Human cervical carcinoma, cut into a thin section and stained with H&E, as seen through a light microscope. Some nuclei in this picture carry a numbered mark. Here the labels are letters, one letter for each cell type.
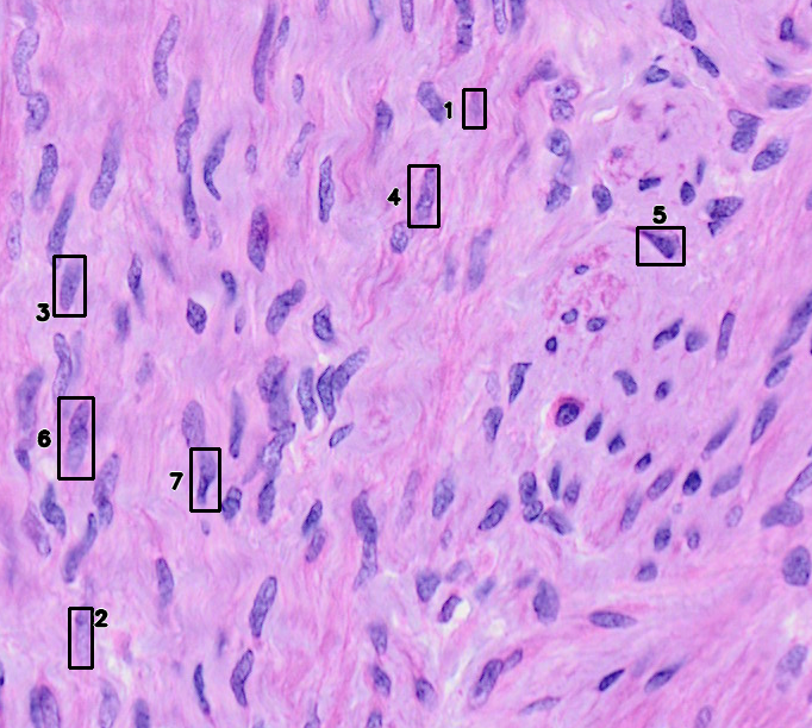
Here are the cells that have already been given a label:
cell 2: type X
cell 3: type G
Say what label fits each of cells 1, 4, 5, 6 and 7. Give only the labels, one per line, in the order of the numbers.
type X
type X
type G
type X
type G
